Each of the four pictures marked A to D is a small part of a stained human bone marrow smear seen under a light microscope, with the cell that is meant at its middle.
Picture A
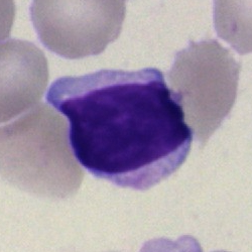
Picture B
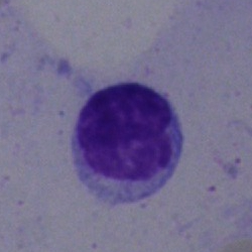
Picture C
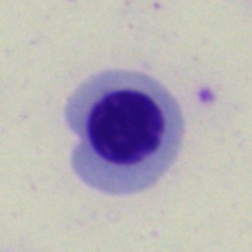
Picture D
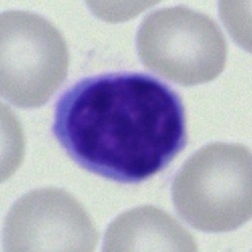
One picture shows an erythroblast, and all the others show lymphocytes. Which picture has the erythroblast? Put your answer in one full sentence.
It is picture C that shows the erythroblast.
